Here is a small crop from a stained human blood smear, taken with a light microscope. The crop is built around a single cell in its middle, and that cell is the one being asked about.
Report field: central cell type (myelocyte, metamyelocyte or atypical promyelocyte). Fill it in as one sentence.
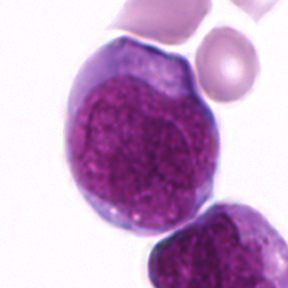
As for the cell in the middle, it is an atypical promyelocyte.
